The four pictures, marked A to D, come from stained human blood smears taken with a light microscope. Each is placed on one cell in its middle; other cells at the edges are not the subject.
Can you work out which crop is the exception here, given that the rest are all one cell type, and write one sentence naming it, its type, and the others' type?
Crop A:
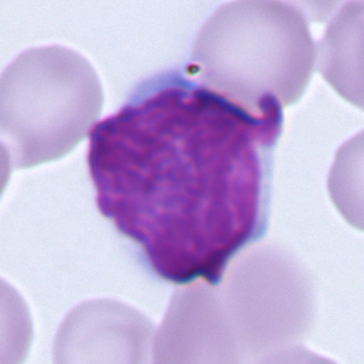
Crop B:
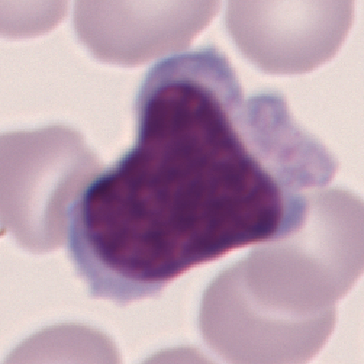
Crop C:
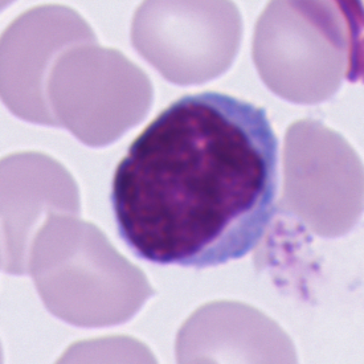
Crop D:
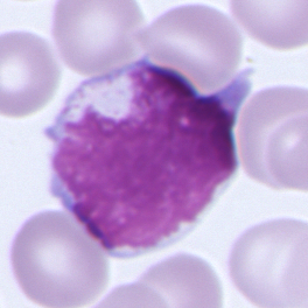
Crop D is not like the others: it is a large granular lymphocyte, and they are typical lymphocytes.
